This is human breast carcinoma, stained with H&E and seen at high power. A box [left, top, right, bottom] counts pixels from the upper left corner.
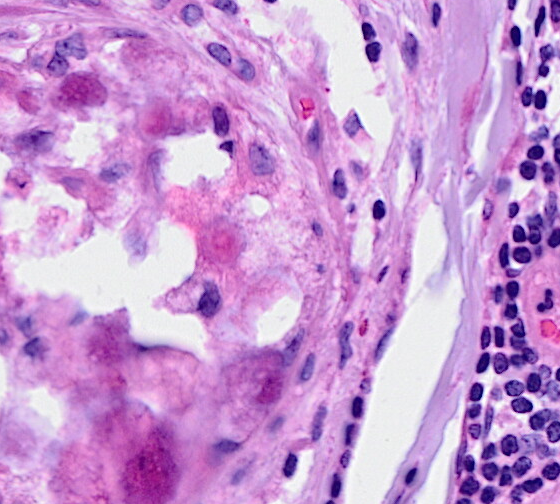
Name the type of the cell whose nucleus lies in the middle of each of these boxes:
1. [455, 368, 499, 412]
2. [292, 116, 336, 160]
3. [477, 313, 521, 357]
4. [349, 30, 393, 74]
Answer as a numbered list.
1. lymphocyte
2. endothelial cell
3. lymphocyte
4. lymphocyte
